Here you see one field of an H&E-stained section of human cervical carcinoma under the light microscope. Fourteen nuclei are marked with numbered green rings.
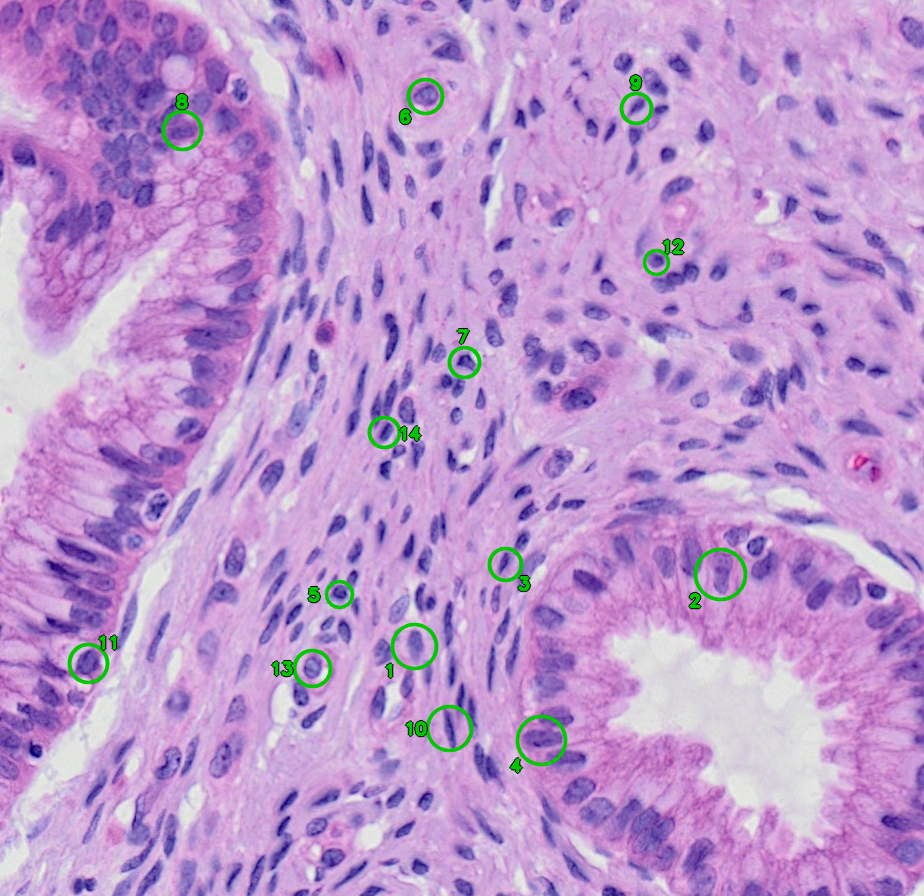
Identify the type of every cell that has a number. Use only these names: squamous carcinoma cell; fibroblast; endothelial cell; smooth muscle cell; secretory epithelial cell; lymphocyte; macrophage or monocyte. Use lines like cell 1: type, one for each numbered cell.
cell 1: fibroblast
cell 2: secretory epithelial cell
cell 3: fibroblast
cell 4: secretory epithelial cell
cell 5: fibroblast
cell 6: endothelial cell
cell 7: fibroblast
cell 8: secretory epithelial cell
cell 9: fibroblast
cell 10: fibroblast
cell 11: secretory epithelial cell
cell 12: fibroblast
cell 13: endothelial cell
cell 14: fibroblast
